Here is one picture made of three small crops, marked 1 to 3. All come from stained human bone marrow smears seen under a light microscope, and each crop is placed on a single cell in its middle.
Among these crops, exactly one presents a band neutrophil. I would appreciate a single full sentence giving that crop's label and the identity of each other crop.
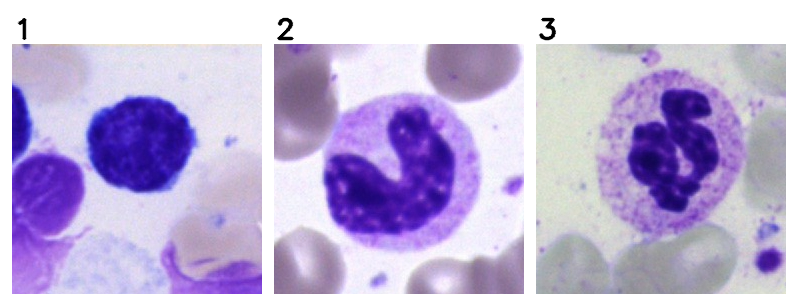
Crop 2 holds a band neutrophil at its centre, while crop 1 is a lymphocyte and crop 3 is a segmented neutrophil.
